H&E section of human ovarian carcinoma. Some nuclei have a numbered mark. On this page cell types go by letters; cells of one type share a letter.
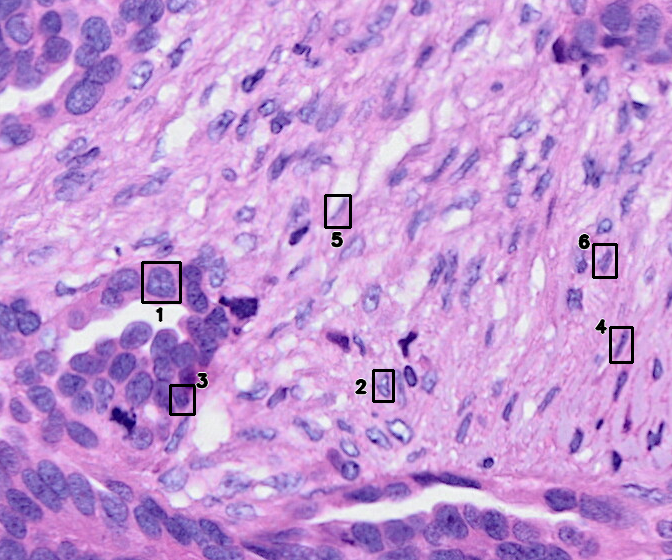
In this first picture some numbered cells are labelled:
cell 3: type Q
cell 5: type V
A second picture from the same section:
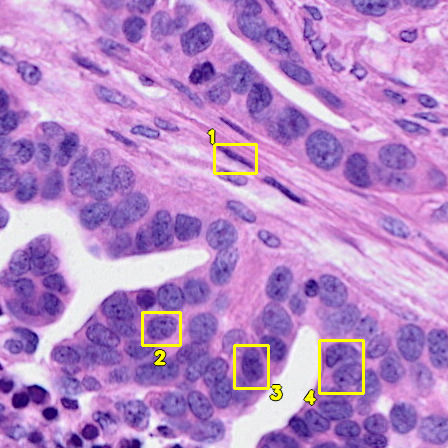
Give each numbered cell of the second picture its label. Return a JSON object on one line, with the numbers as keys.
{"1": "type V", "2": "type Q", "3": "type Q", "4": "type Q"}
